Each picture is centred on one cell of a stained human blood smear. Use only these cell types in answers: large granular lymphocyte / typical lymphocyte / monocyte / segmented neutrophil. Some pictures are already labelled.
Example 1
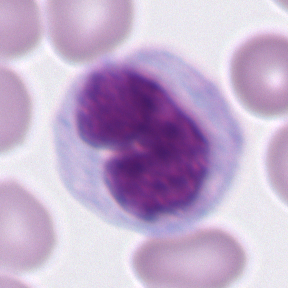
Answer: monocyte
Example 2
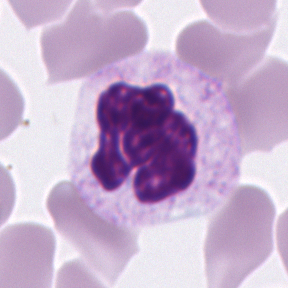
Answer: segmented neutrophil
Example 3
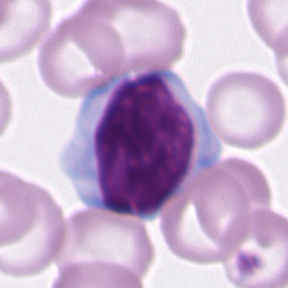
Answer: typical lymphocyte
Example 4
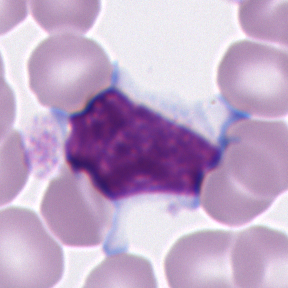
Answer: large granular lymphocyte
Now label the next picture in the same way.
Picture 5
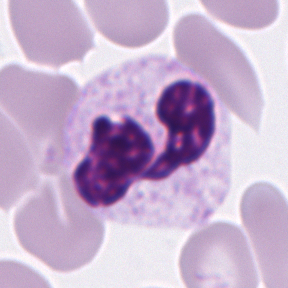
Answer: segmented neutrophil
